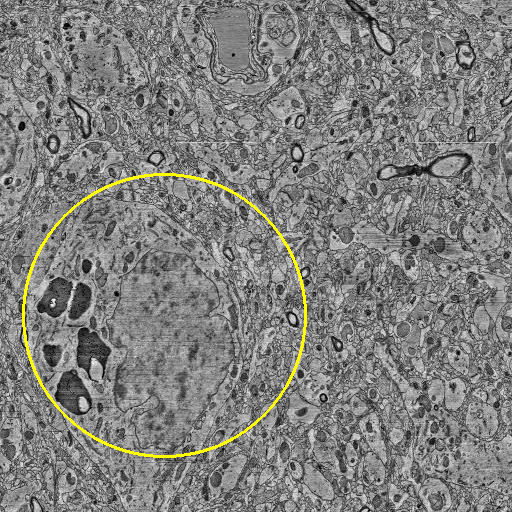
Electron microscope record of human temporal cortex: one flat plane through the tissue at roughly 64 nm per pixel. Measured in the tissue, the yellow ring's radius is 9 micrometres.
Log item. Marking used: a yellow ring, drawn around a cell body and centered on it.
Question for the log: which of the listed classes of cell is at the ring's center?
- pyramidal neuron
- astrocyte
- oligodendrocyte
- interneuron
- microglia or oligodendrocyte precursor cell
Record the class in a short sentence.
At the center of the ring lies an interneuron.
